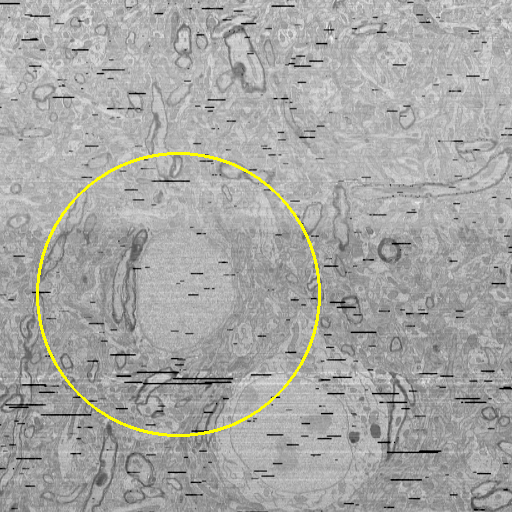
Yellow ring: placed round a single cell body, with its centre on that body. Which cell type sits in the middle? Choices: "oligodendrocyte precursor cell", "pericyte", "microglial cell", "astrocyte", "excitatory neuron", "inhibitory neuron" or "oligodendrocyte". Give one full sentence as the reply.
It is an astrocyte whose cell body sits at the centre of the yellow ring.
